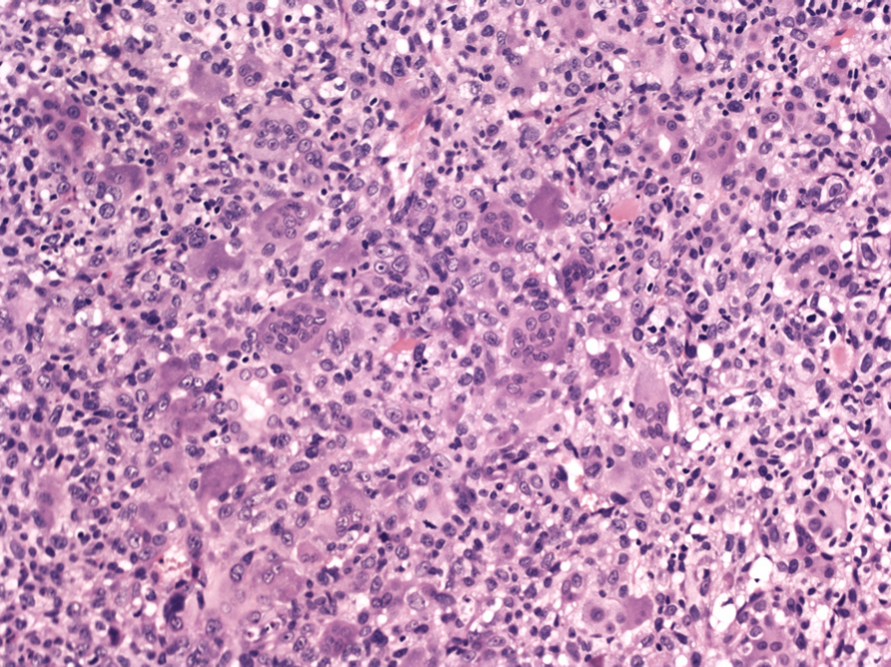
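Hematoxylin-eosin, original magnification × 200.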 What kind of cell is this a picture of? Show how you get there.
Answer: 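Osteoclast-like giant cells. Numerous large cells with abundant pink cytoplasm. The large cells are scattered among smaller, densely packed mononuclear cells.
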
